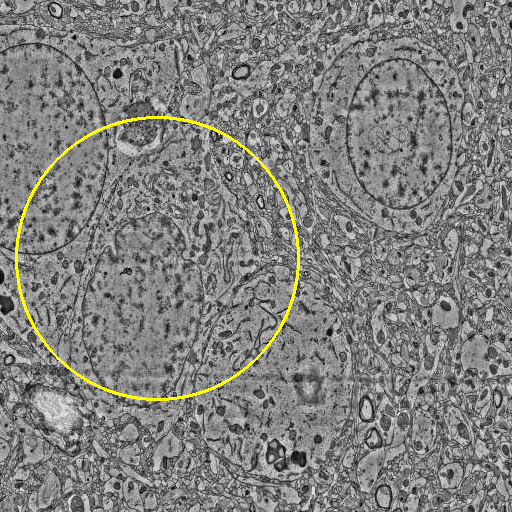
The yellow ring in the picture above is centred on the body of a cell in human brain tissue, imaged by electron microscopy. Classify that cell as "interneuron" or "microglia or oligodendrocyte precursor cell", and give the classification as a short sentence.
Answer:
The cell in the middle of the ring is an interneuron.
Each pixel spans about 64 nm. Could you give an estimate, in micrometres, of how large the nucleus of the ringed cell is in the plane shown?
At approximately 12 by 8 micrometres, the nucleus is clearly longer than it is wide in this plane.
